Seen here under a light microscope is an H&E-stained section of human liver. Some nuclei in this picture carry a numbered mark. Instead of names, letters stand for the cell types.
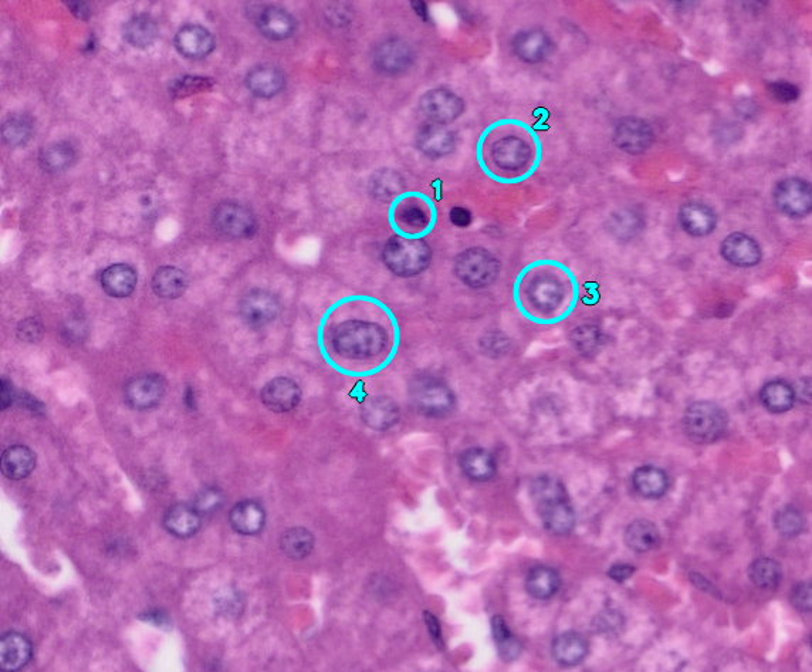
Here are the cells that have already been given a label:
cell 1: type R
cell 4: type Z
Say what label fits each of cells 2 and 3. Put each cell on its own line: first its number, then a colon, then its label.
2: type Z
3: type Z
